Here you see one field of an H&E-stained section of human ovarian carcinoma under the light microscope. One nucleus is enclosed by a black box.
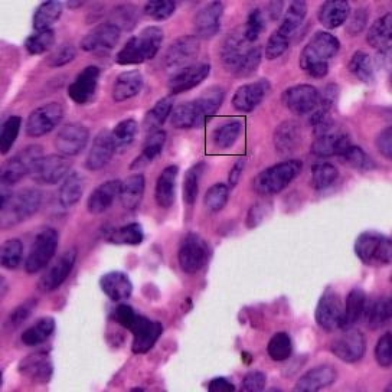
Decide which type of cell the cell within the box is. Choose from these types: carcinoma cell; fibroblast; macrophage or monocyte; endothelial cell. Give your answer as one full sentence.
The cell type represented by the cell within the box is that of a macrophage or monocyte.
